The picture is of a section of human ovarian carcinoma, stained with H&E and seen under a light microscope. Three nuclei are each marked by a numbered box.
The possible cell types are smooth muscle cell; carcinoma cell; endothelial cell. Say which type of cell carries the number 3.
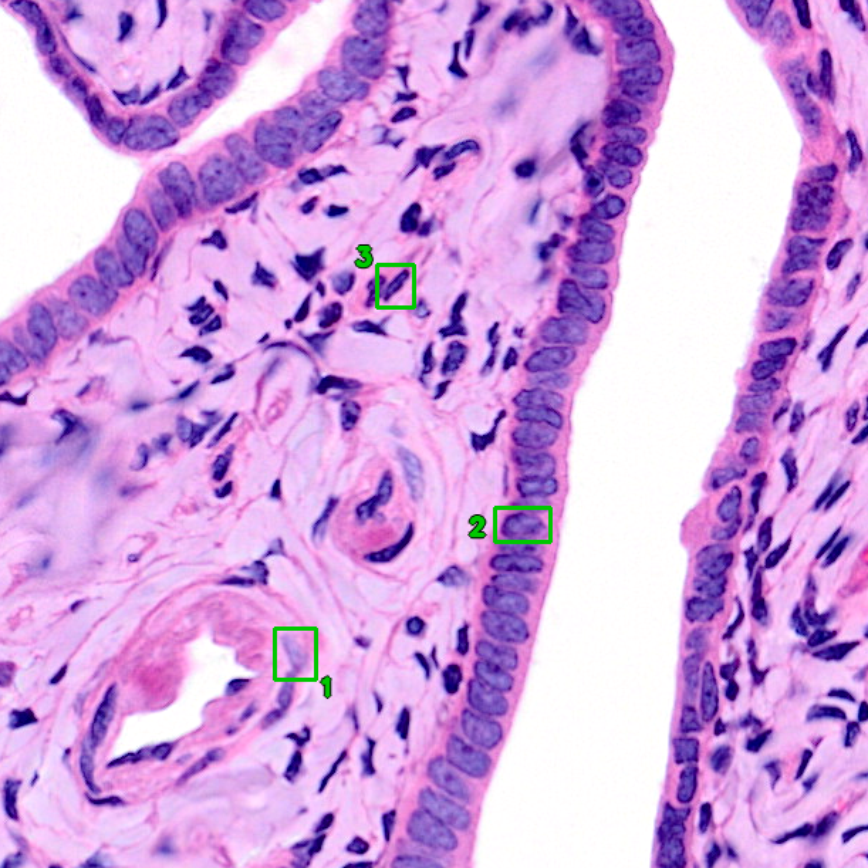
endothelial cell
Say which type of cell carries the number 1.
smooth muscle cell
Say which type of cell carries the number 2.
carcinoma cell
